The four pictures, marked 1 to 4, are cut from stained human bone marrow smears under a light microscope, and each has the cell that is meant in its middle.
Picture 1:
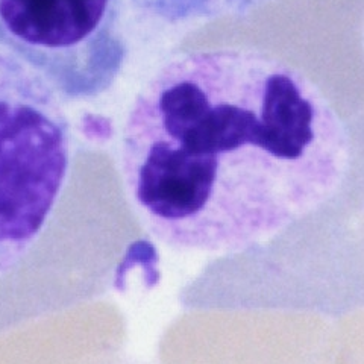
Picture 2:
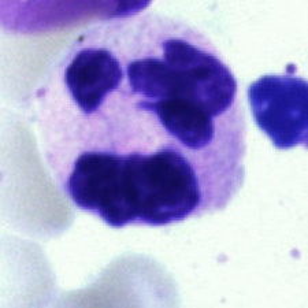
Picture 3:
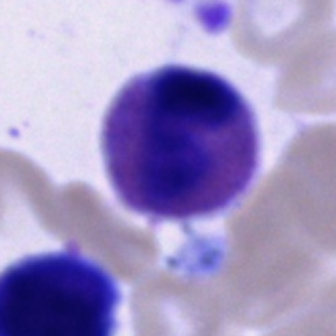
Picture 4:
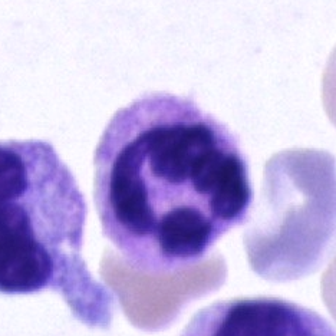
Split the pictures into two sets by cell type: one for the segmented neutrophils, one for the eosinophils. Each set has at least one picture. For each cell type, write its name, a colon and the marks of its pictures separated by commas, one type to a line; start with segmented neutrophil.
segmented neutrophil: 1, 2, 4
eosinophil: 3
